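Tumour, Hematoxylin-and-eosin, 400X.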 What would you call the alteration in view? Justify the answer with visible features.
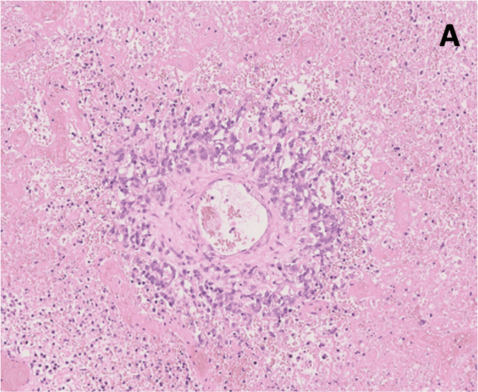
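Extensive necrosis. Much of the field is pale pink, with scattered faint or fragmented nuclei. Viable cells with intact nuclei are confined to a cuff in the centre.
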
